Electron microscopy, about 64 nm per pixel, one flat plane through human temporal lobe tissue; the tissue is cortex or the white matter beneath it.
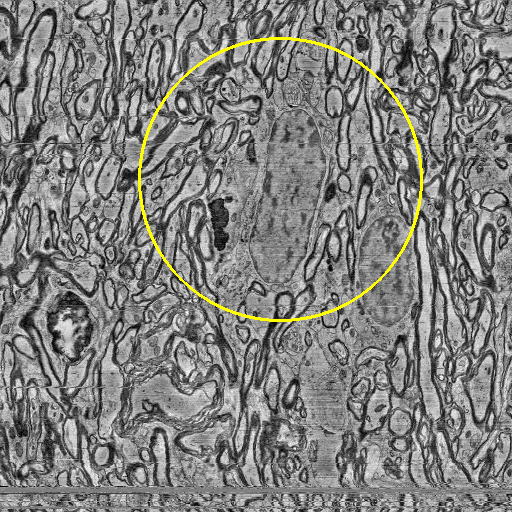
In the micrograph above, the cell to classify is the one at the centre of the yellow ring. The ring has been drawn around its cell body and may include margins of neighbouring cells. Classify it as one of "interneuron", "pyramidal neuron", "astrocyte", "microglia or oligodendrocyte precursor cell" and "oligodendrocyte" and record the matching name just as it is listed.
microglia or oligodendrocyte precursor cell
